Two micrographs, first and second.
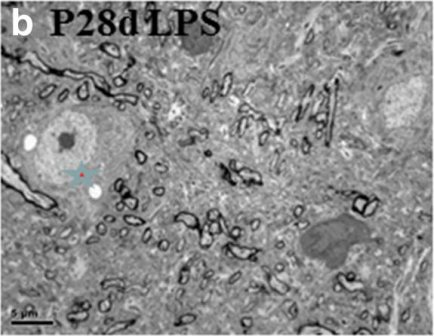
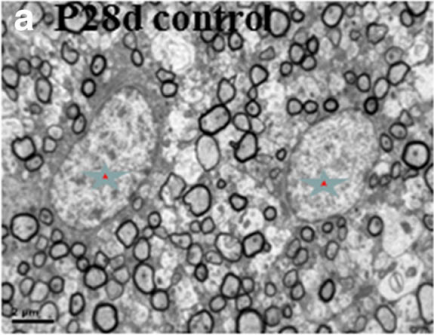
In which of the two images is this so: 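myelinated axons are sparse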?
the first image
